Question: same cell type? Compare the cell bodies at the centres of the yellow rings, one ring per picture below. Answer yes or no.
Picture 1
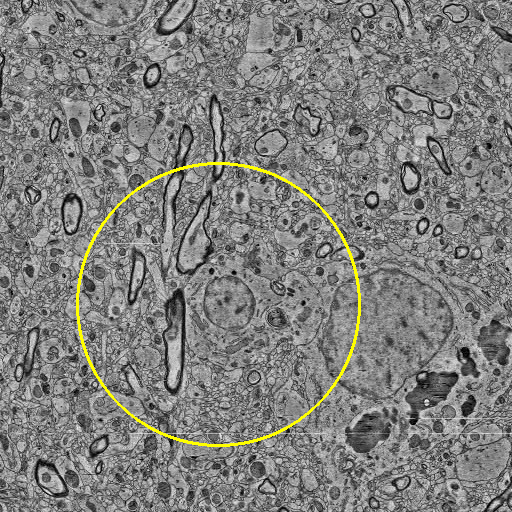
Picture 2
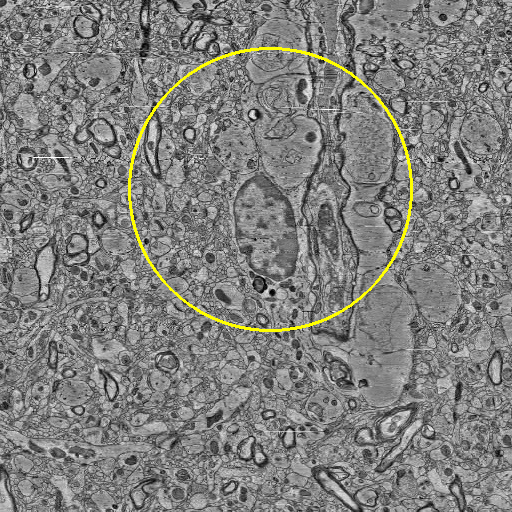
yes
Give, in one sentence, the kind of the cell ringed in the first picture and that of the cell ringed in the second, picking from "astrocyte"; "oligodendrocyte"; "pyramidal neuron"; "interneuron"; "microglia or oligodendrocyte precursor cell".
Each of the two cells is a microglial cell or oligodendrocyte precursor cell.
